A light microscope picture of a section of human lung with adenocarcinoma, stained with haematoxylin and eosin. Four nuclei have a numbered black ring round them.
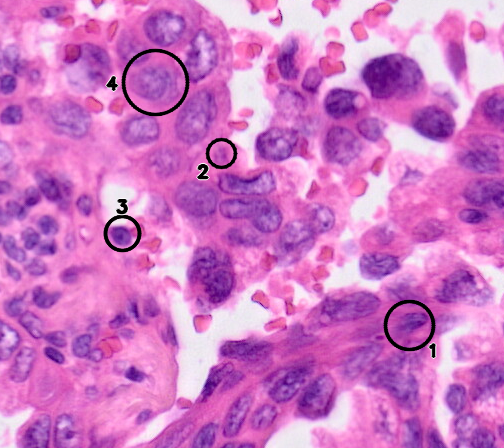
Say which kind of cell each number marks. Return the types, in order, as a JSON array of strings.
["carcinoma cell", "carcinoma cell", "lymphocyte", "carcinoma cell"]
